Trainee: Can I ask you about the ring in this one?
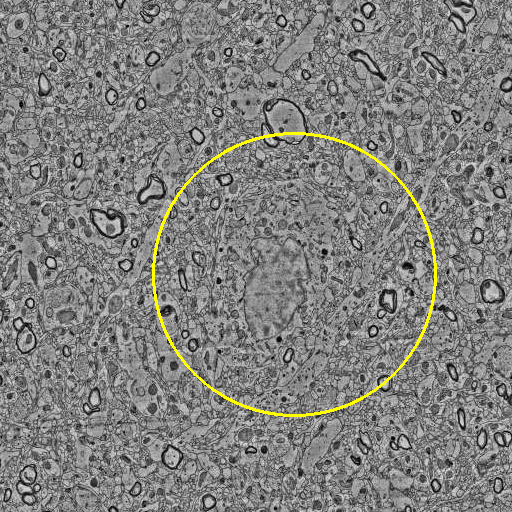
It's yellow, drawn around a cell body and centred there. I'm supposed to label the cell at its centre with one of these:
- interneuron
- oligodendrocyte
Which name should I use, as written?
interneuron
